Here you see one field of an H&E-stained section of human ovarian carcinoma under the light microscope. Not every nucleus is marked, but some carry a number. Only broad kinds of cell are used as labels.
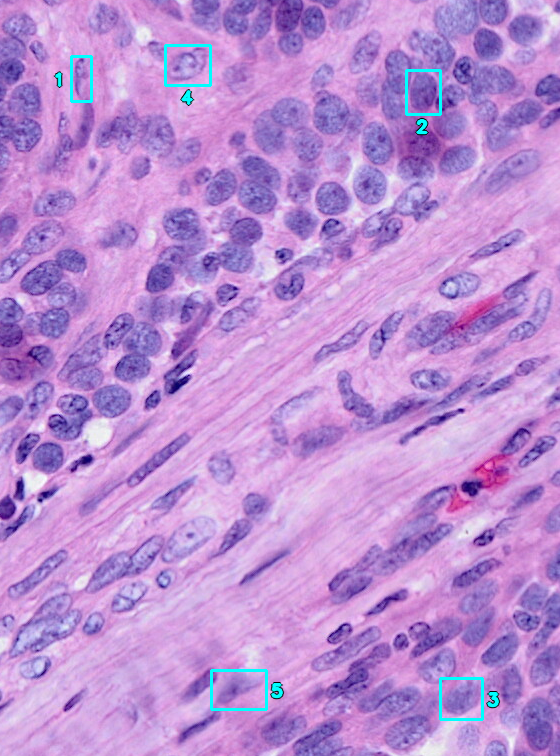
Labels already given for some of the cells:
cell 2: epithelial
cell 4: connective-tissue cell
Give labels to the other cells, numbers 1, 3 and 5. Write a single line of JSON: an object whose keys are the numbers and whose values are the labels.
{"1": "connective-tissue cell", "3": "epithelial", "5": "connective-tissue cell"}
